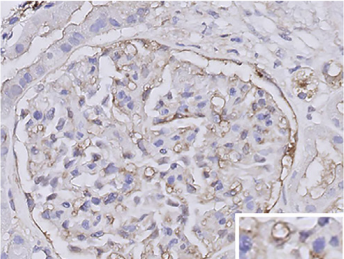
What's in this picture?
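A renal glomerulus whose tuft of capillary loops is crowded with blue nuclei, many of the small capillary lumina ringed by a fine brown rim. A thin capsule encloses the tuft, and tubules lie around it. The inset enlarges a few capillaries with brown-rimmed lumina.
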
